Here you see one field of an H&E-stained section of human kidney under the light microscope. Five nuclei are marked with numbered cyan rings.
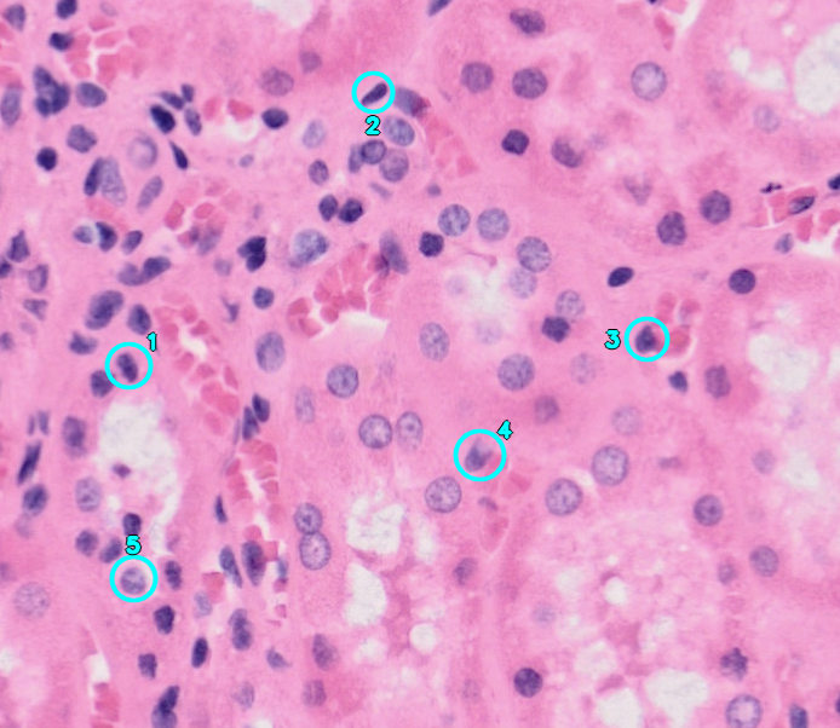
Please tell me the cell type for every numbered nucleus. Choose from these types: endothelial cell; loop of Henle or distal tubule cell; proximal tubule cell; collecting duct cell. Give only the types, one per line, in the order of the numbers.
loop of Henle or distal tubule cell
endothelial cell
endothelial cell
endothelial cell
loop of Henle or distal tubule cell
